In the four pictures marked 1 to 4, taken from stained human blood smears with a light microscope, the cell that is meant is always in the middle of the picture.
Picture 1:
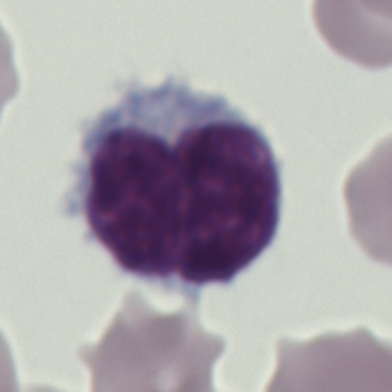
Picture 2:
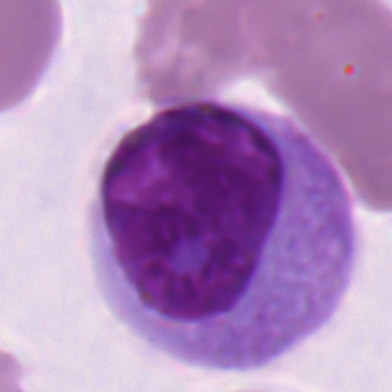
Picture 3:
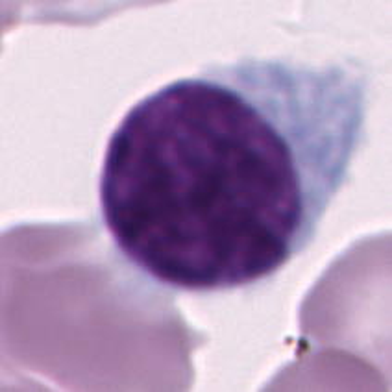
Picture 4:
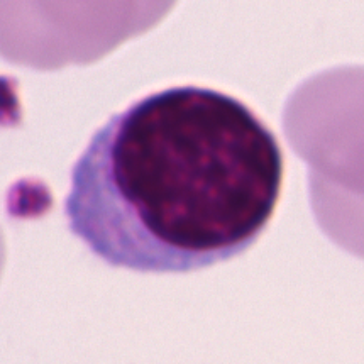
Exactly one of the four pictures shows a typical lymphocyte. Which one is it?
4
